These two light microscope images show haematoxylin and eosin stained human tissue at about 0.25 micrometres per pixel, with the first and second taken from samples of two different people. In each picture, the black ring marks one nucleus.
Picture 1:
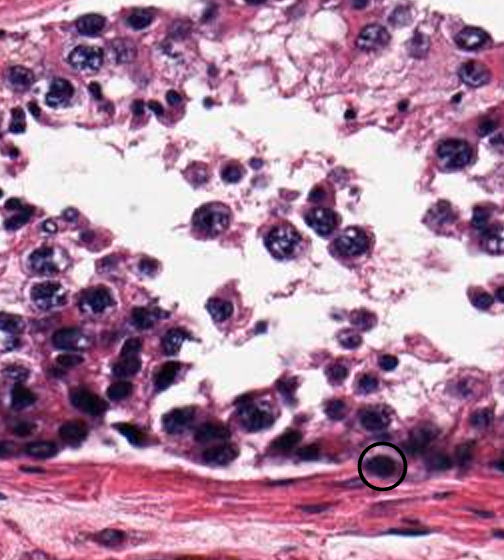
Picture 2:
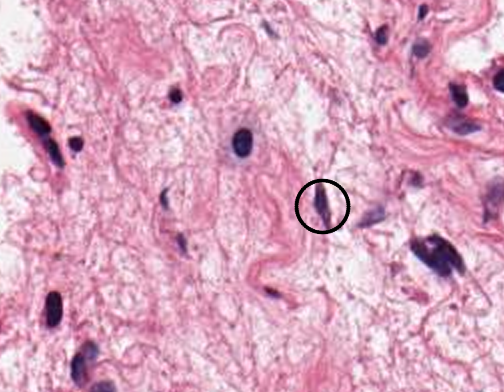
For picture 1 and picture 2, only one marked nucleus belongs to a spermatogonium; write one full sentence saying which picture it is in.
It is in picture 1 that the marked nucleus belongs to a spermatogonium.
